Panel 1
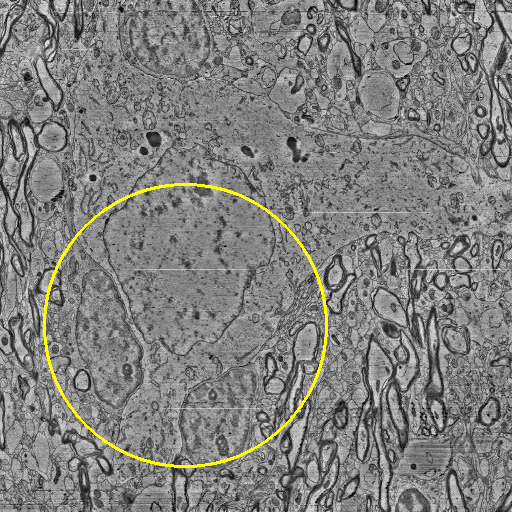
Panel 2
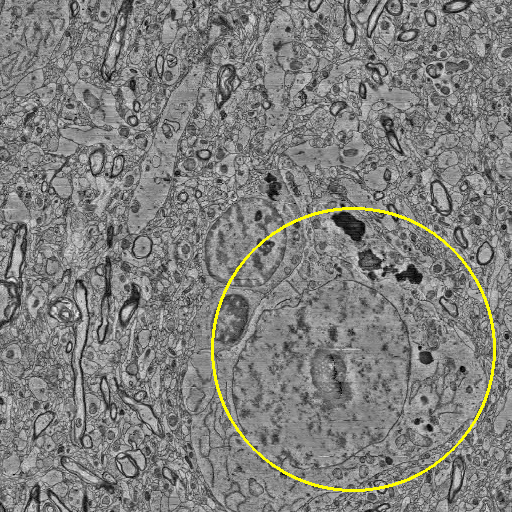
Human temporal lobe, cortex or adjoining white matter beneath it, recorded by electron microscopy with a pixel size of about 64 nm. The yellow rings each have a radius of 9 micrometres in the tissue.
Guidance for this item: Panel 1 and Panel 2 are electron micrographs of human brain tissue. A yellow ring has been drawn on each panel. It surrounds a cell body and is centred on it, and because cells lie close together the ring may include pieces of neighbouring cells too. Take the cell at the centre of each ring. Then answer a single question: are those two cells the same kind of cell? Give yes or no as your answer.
yes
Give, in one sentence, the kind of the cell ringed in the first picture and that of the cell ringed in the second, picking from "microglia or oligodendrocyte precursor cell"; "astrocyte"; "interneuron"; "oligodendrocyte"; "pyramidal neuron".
Each of the two pictures has a pyramidal neuron at the ring centre.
